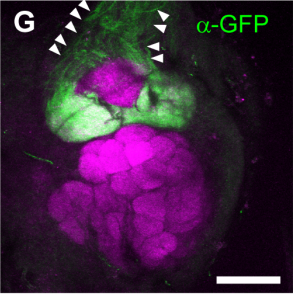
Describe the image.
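This antennal lobe shows rounded glomeruli in magenta packed into a large lower mass and a smaller cluster above it. Thin green nerve fibres enter from the top of the lobe. The green fibres spread over and around the upper cluster of glomeruli, where their endings gather. The lower, larger set of glomeruli carries little or no green.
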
